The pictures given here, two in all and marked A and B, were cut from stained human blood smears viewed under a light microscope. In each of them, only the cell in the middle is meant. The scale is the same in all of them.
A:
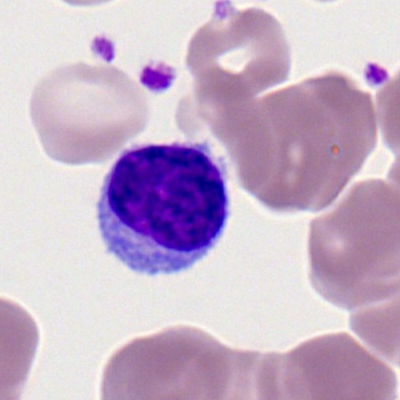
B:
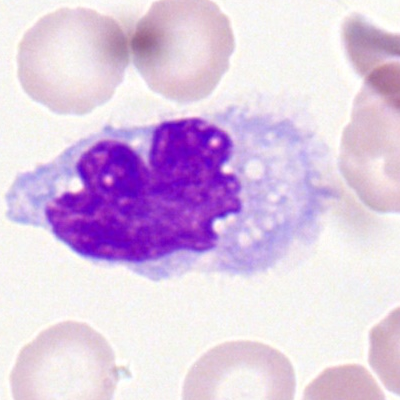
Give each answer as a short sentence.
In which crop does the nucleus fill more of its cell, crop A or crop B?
Of the two, the nucleus in crop A makes up the greater part of its cell.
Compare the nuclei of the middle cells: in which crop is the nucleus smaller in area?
Crop A shows the smaller nucleus, since that in crop B covers about 2 times as much area.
